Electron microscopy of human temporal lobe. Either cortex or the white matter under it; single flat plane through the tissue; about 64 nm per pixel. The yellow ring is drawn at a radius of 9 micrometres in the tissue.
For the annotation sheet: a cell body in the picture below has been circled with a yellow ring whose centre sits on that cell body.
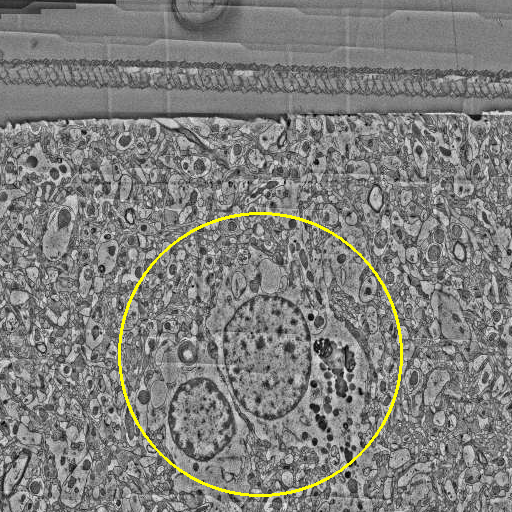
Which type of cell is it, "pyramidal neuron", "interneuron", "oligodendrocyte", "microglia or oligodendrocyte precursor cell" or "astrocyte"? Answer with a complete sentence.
The circled cell is an astrocyte.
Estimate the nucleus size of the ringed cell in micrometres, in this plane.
The ringed cell's nucleus is about 8 micrometres long and 6 micrometres wide in this plane.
